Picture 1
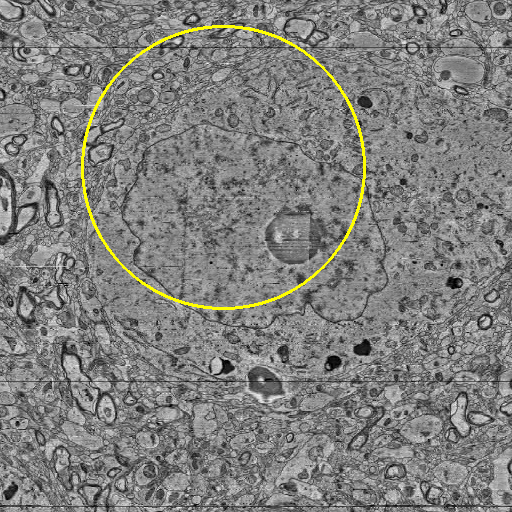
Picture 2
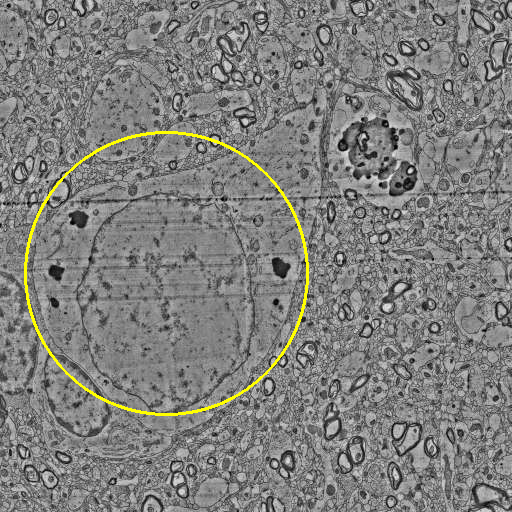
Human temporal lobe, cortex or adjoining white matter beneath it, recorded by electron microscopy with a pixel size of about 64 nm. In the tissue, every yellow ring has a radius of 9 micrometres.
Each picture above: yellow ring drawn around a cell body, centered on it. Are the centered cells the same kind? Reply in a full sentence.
Yes, the two cells are the same kind.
